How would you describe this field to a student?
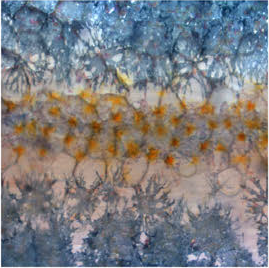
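Here the skin is seen with pigment cells fully spread, a light band lying between two dark stripes. Above and below, melanophores are large, finely branched black-grey cells whose processes interlace into a dark meshwork. Through the middle runs a row of orange xanthophores, each a small blotch of yellow-orange colour, packed into a horizontal band. The dark cells thin out towards that orange band, so the boundary between stripe and interstripe is plain to see.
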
